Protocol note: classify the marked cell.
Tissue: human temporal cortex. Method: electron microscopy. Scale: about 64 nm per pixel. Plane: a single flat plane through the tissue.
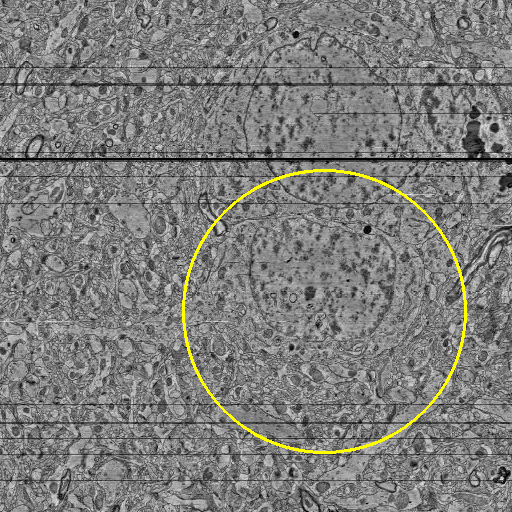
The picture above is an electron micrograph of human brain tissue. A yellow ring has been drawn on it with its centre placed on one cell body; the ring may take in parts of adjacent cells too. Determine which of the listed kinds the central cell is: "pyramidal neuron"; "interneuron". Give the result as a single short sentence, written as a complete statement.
The central cell is an interneuron.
